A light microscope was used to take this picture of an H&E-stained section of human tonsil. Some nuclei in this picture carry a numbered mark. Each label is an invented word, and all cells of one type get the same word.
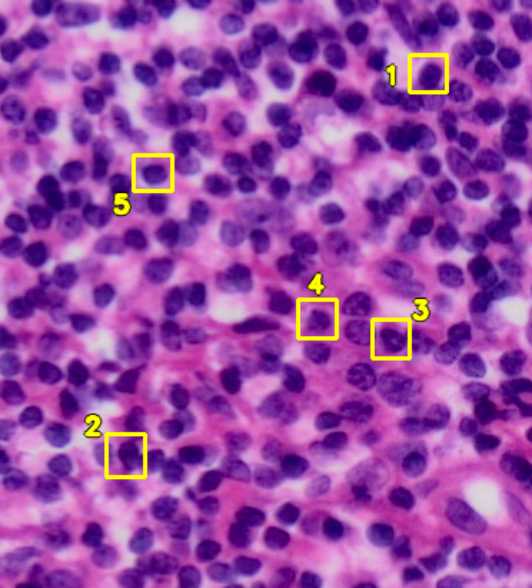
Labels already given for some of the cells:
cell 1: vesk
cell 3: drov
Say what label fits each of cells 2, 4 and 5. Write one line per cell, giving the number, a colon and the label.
2: vesk
4: drov
5: vesk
